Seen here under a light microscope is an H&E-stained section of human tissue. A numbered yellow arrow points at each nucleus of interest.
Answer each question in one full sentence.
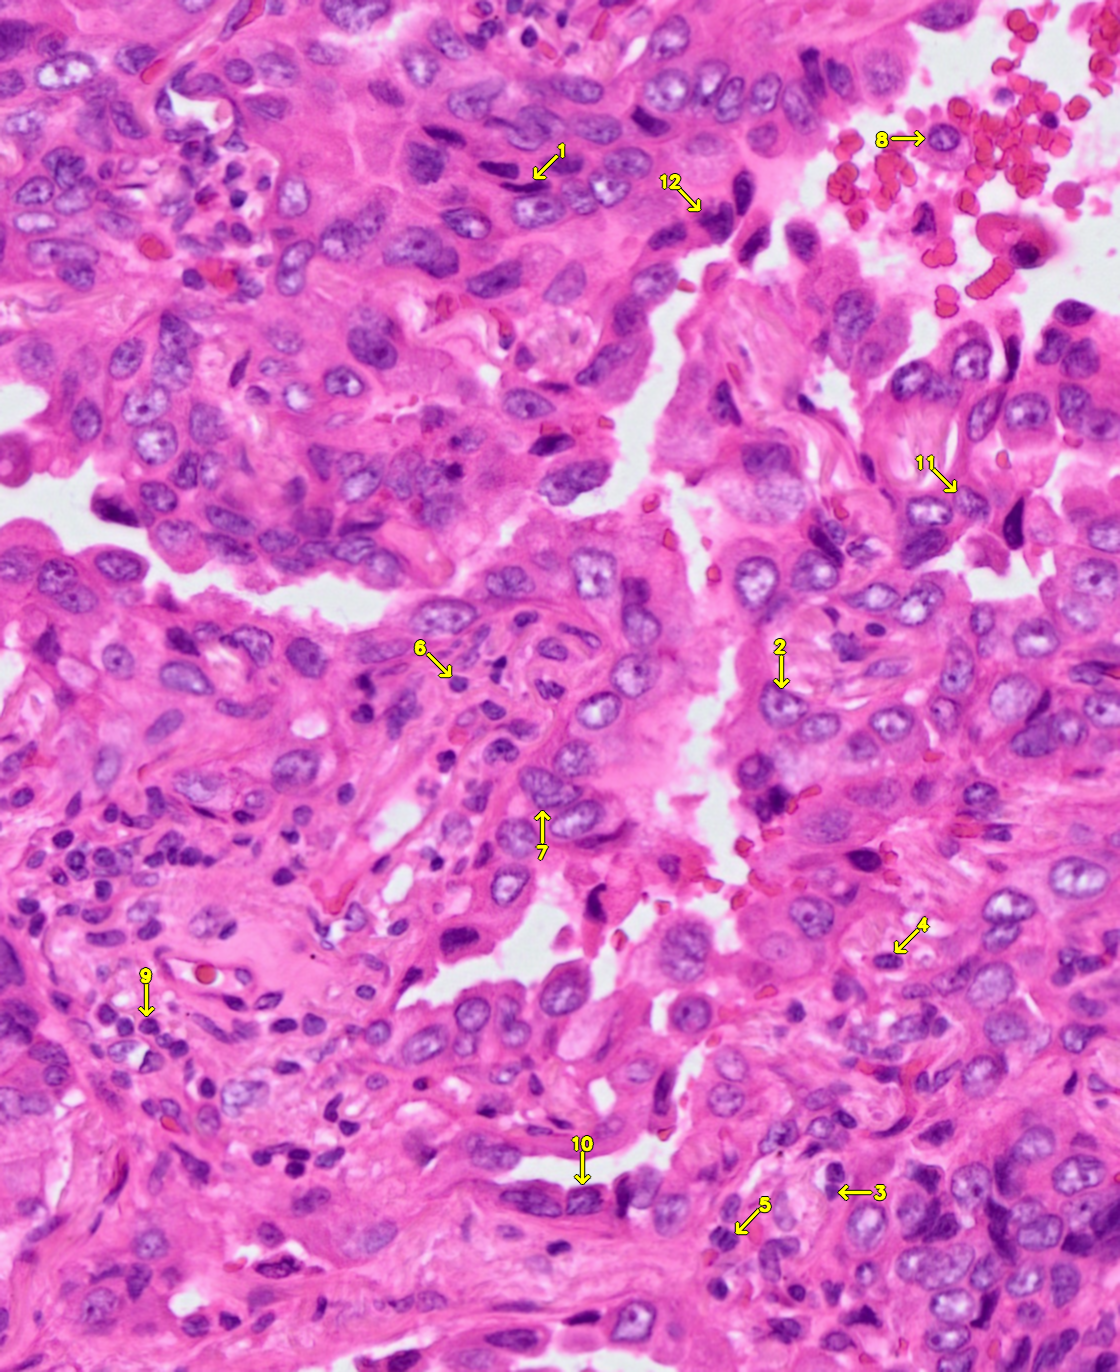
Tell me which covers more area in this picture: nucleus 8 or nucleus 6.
Nucleus 8 covers more area, about 3 times as much as nucleus 6.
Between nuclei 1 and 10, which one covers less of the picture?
The smaller nucleus is 1, and 10 covers roughly 2 times its area.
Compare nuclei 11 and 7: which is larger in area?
The larger nucleus is 7, at roughly 1.5 times the area of 11.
